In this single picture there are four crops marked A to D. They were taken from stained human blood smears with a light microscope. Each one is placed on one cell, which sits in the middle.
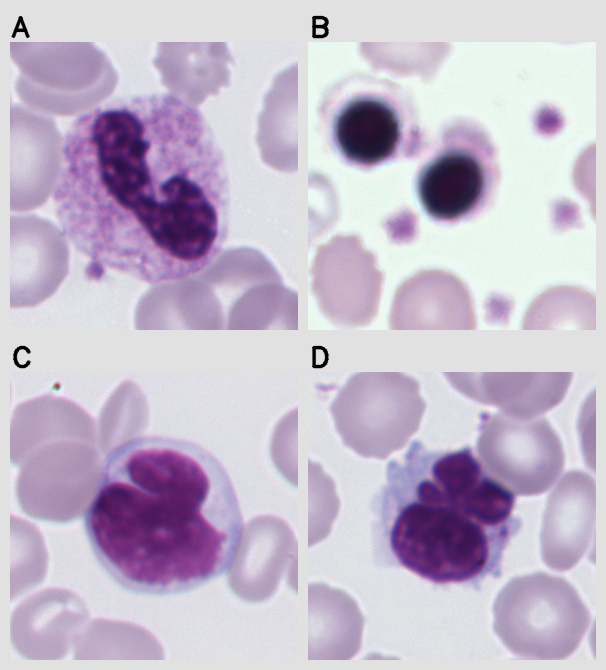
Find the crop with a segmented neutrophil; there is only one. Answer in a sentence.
Crop A, and no other, is the one that shows a segmented neutrophil.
